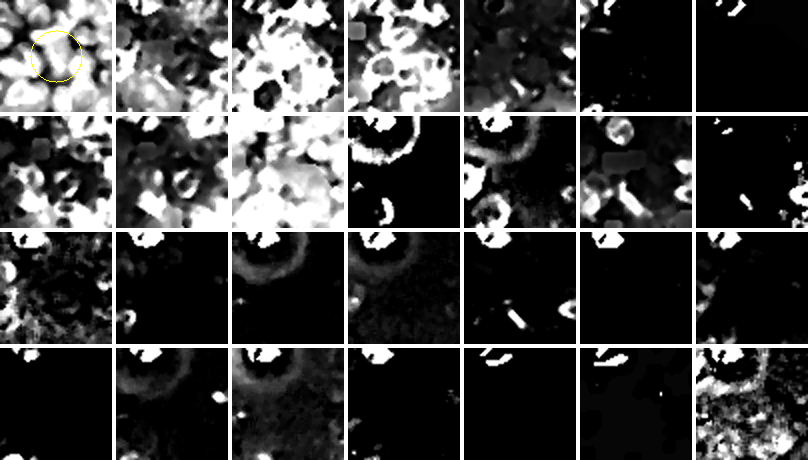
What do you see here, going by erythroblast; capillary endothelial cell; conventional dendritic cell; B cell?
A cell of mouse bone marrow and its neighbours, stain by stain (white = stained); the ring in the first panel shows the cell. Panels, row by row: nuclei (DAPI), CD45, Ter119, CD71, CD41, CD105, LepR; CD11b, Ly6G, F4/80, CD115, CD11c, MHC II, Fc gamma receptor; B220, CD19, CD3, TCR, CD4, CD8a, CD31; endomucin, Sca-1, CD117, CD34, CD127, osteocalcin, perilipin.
I see an erythroblast.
